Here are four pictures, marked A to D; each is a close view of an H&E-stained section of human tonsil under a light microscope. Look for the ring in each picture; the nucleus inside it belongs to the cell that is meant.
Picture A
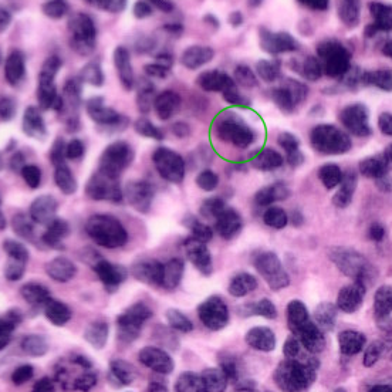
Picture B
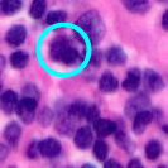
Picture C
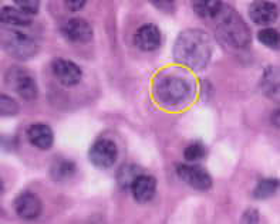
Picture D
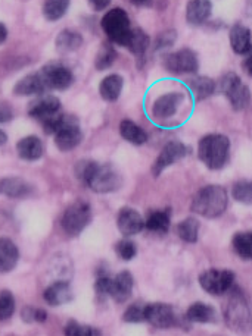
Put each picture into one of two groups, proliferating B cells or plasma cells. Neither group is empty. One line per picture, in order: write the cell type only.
proliferating B cell
proliferating B cell
plasma cell
proliferating B cell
